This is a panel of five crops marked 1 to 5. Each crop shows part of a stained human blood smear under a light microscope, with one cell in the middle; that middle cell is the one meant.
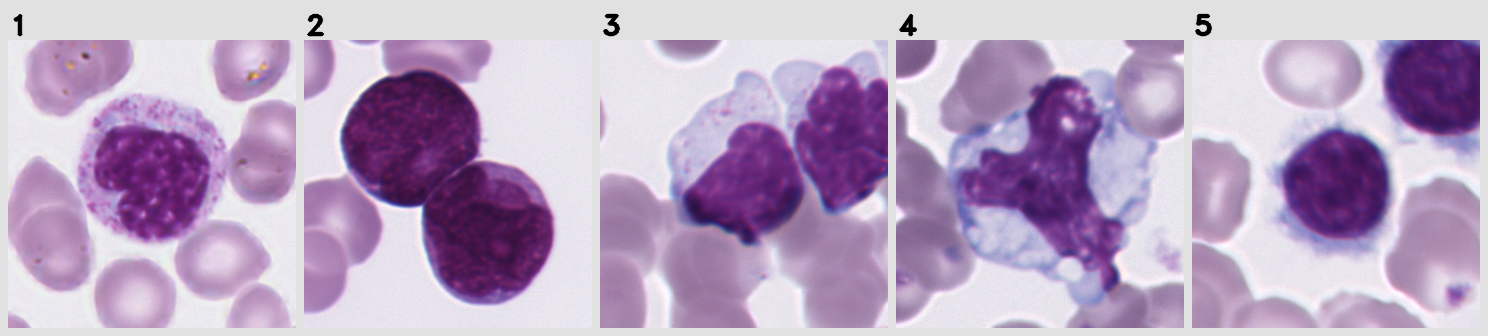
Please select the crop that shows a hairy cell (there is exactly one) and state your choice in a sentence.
It is crop 5, not any other, that shows a hairy cell.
